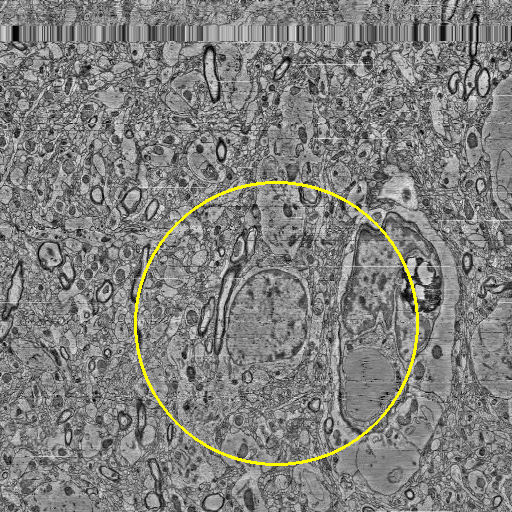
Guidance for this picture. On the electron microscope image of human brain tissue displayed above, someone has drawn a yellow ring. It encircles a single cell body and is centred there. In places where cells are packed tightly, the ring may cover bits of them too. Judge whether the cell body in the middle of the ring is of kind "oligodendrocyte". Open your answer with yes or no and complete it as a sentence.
No, another kind matches the cell whose body lies at the ring's centre in the image above.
